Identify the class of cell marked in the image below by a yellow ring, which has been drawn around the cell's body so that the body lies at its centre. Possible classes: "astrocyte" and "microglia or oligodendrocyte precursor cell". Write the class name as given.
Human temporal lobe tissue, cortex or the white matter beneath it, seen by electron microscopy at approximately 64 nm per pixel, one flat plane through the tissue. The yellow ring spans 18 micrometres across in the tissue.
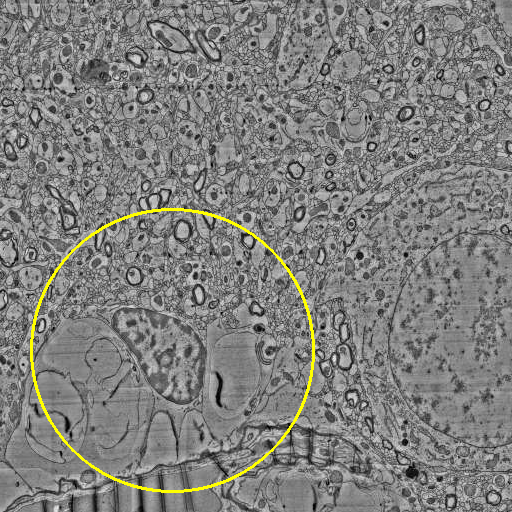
microglia or oligodendrocyte precursor cell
